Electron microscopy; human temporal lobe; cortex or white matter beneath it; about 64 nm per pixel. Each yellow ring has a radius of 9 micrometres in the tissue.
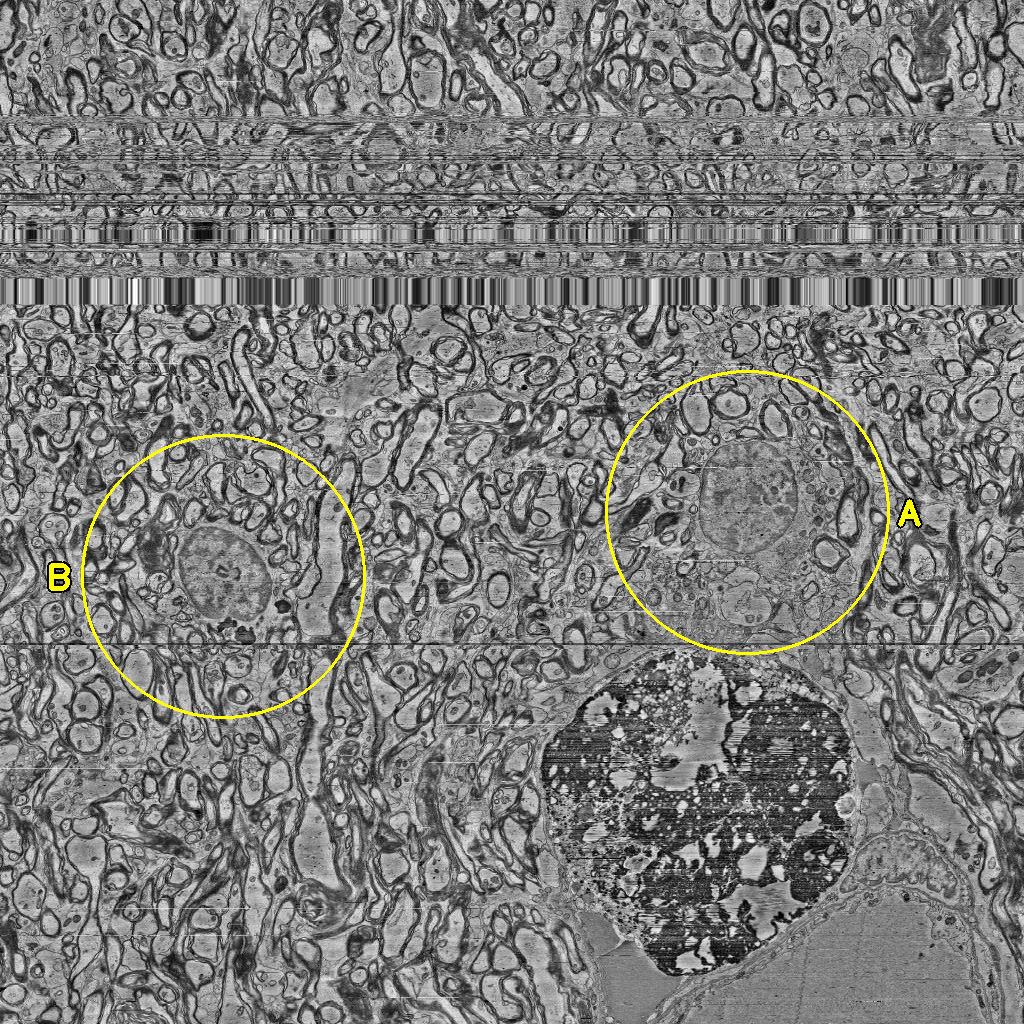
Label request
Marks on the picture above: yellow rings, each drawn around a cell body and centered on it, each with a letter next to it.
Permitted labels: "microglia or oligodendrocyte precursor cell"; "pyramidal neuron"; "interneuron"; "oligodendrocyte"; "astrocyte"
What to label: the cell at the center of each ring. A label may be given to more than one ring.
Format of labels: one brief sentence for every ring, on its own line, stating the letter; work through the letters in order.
The cell at the center of ring A is an oligodendrocyte.
The cell at the center of ring B is an oligodendrocyte.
